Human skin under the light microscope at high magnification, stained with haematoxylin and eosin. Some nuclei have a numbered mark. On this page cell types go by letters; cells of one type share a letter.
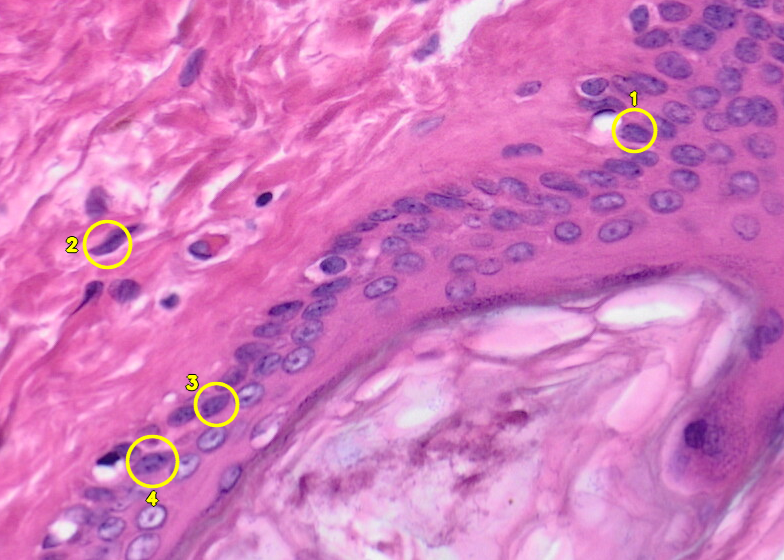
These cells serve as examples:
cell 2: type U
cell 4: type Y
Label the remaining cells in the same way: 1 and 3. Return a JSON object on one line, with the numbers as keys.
{"1": "type Y", "3": "type Y"}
